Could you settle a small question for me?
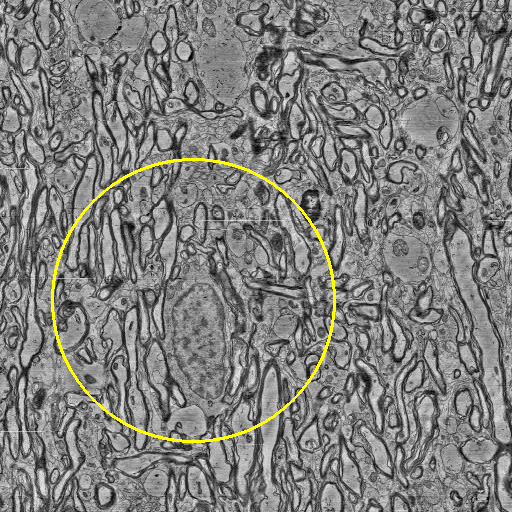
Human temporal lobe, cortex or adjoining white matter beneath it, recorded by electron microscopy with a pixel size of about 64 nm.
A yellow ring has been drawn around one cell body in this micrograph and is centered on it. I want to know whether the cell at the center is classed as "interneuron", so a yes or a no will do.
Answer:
no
